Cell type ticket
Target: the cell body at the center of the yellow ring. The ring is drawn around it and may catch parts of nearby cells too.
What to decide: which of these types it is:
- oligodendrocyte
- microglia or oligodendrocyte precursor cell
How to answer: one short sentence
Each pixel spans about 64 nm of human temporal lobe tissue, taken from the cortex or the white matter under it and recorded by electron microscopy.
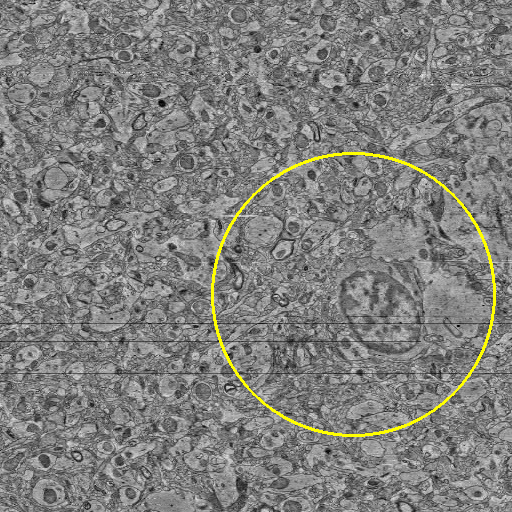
The cell at the center of the ring is an oligodendrocyte.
